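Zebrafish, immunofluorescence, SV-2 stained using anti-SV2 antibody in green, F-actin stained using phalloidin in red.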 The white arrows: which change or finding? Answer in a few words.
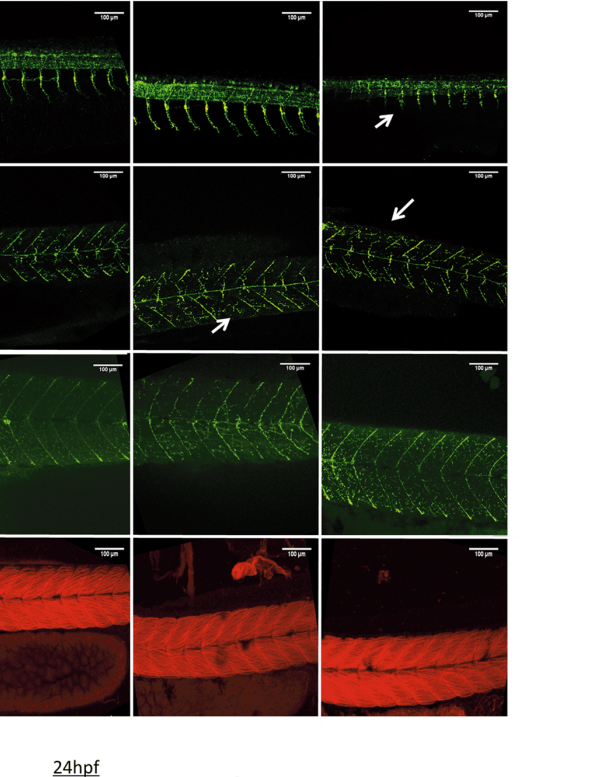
Shorter or missing neurons.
